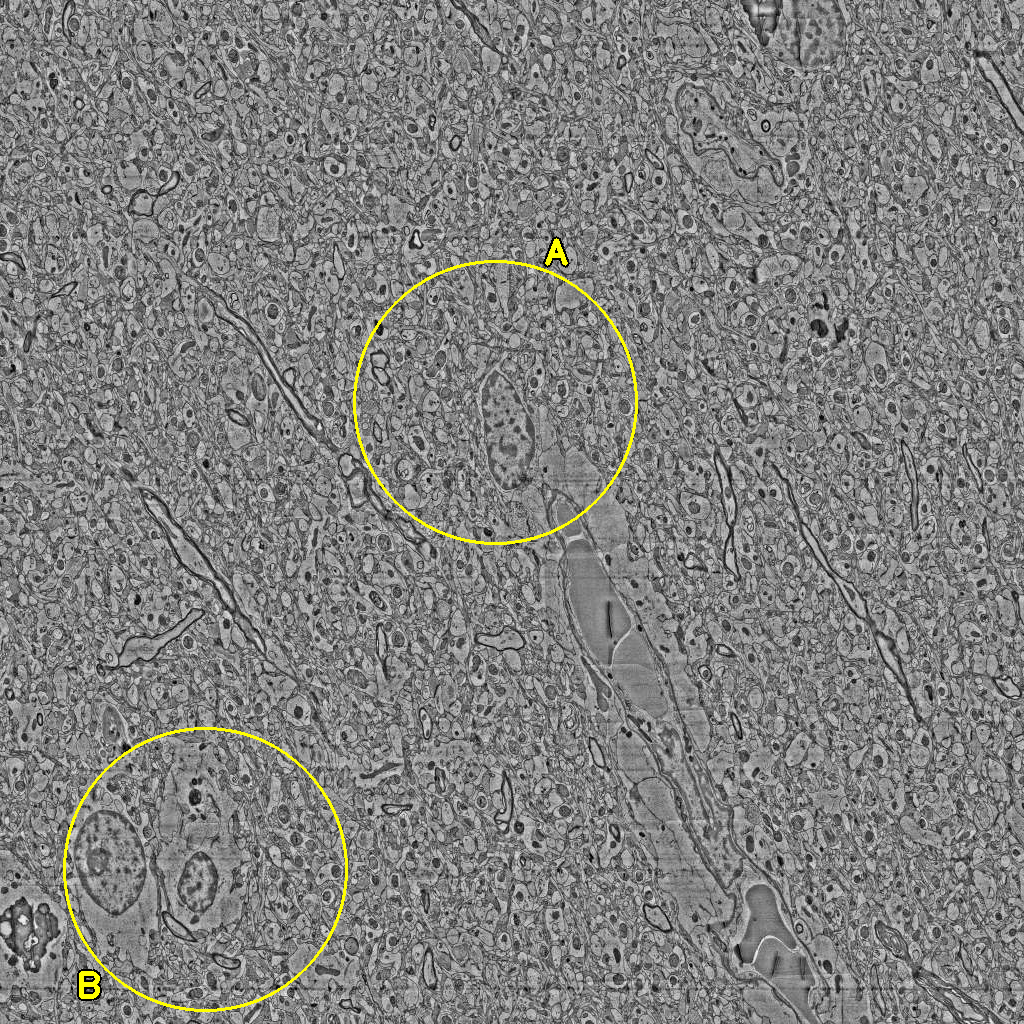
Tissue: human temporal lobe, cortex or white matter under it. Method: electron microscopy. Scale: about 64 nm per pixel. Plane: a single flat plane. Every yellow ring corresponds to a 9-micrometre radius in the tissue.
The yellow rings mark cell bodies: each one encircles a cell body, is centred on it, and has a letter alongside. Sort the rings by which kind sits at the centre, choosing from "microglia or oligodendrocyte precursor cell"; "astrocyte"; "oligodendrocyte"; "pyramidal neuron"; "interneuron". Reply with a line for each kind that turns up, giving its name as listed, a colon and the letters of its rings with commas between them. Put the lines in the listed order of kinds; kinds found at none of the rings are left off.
microglia or oligodendrocyte precursor cell: A
astrocyte: B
